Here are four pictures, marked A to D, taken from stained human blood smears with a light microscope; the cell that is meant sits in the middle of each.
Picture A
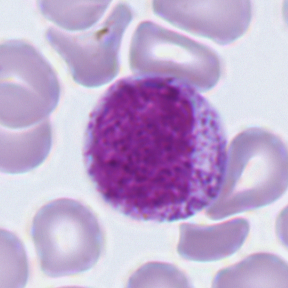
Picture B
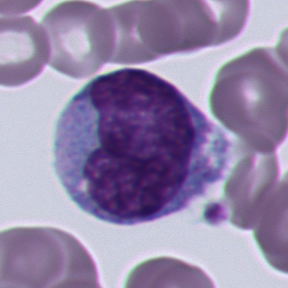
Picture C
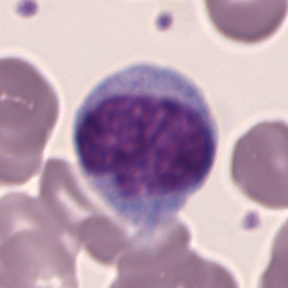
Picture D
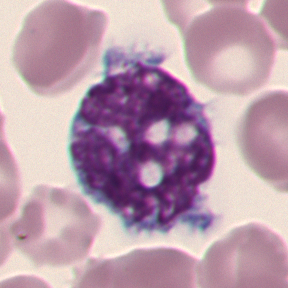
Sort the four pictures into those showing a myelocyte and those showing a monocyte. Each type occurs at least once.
A: myelocyte
B: monocyte
C: monocyte
D: monocyte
